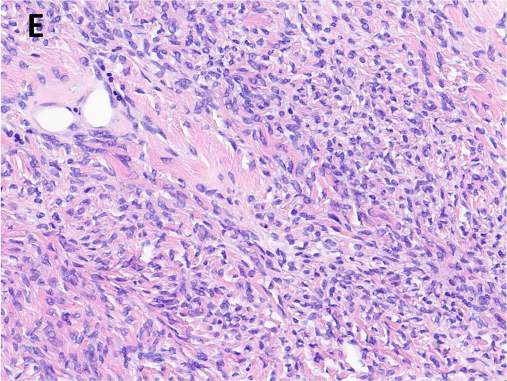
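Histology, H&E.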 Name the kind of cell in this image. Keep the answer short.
Uniform spindle cells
